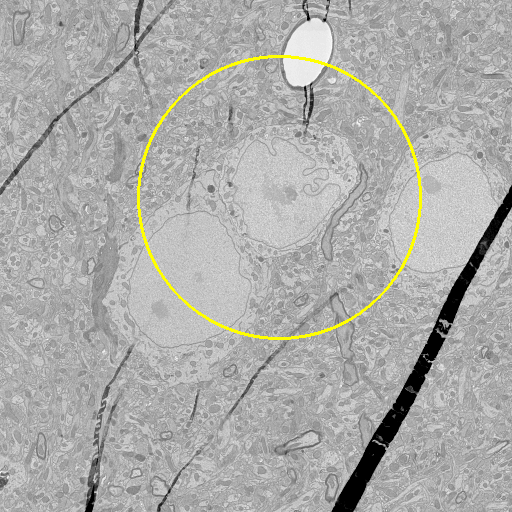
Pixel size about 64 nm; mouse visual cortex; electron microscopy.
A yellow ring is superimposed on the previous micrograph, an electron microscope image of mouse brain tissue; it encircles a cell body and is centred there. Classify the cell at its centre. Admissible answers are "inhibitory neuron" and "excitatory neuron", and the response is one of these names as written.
inhibitory neuron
